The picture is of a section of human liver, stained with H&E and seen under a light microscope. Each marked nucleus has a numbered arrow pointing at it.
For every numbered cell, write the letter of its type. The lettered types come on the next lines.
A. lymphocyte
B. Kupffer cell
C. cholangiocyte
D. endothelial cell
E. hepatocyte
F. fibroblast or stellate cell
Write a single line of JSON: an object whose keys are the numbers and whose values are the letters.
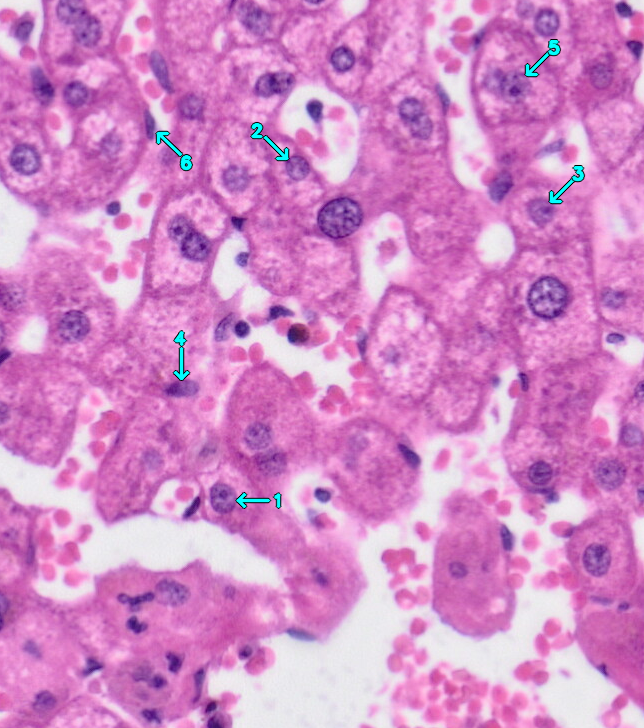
{"1": "E", "2": "E", "3": "E", "4": "B", "5": "E", "6": "D"}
